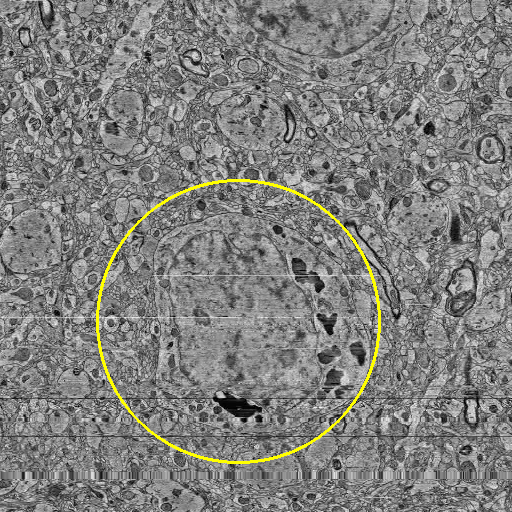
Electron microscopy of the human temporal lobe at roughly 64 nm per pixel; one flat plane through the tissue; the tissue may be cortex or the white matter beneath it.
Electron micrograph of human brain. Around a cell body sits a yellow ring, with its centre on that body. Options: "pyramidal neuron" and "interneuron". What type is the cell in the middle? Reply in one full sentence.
The cell sitting at the centre of the yellow ring is an interneuron.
